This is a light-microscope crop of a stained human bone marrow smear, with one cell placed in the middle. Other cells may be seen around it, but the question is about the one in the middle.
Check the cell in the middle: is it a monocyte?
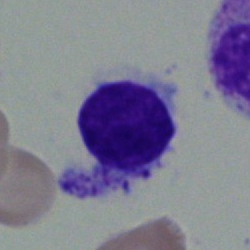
no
